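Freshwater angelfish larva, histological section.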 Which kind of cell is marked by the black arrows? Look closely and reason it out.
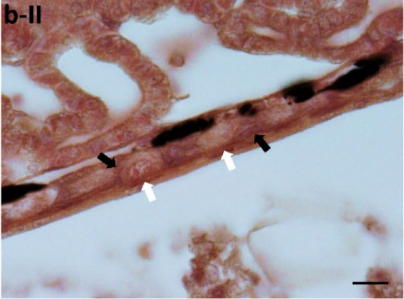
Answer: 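Somatic cells. The black arrows point to flattened cells lying along the thin strip of tissue. These cells are slimmer and less rounded than the large pale cells marked by the white arrows.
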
